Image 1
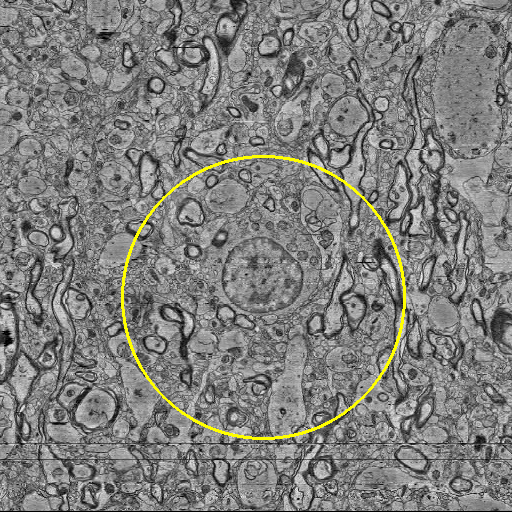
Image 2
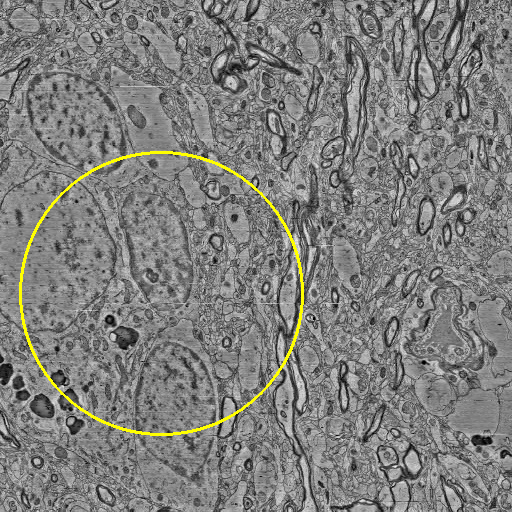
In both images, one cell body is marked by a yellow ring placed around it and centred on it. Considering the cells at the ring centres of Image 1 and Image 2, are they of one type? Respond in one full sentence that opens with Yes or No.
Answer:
Yes, a single type applies to the ring-centred cells of both Image 1 and Image 2.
